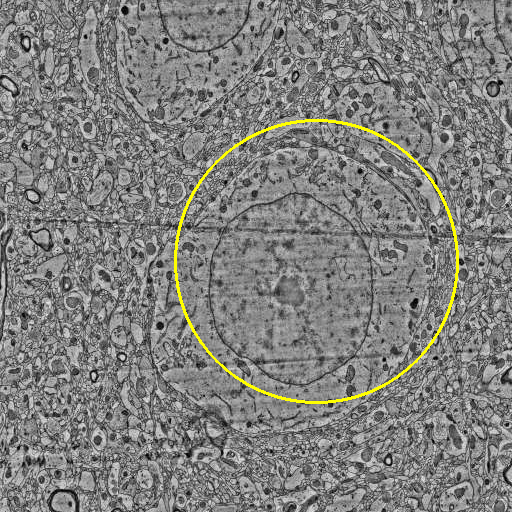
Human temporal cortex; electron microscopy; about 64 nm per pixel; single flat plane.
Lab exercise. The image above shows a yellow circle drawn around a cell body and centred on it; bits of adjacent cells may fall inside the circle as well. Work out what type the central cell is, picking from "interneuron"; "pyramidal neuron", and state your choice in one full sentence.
In the image above, the cell at the centre of the yellow circle is a pyramidal neuron.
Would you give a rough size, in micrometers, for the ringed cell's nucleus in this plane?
In this plane the nucleus spans approximately 12 by 11 micrometers.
